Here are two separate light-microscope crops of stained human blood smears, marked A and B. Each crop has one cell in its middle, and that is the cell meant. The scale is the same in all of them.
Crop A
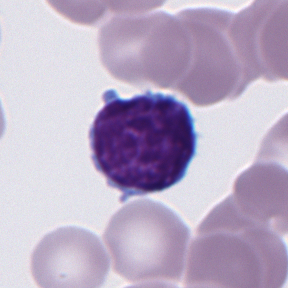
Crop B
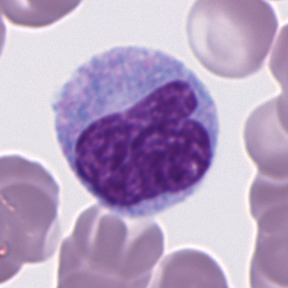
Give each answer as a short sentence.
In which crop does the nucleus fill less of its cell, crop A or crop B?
Of the two, the nucleus in crop B leaves more room for cytoplasm.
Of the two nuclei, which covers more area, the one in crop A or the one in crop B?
It is the nucleus in crop B, about 1.5 times as large in area as the one in crop A.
